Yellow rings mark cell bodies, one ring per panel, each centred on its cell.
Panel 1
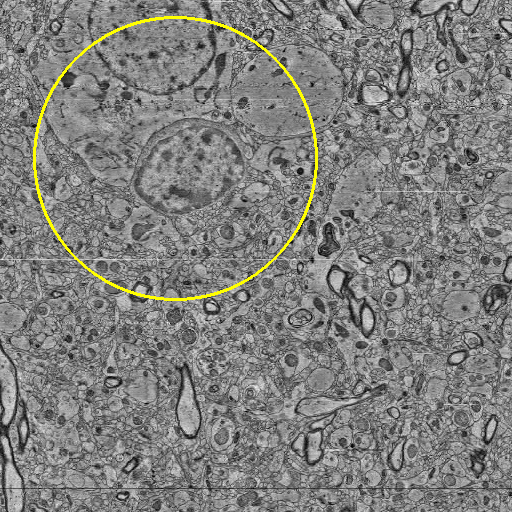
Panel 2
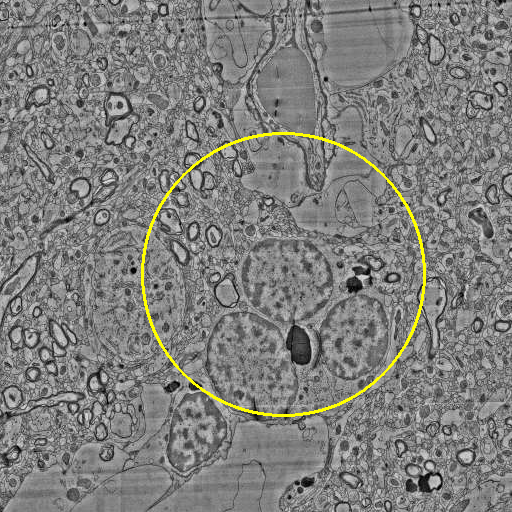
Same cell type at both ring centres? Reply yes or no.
yes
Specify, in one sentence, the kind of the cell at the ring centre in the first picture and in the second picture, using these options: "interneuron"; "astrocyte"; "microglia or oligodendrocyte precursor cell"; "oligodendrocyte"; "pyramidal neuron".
Both the first and the second picture show an oligodendrocyte in the ring.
